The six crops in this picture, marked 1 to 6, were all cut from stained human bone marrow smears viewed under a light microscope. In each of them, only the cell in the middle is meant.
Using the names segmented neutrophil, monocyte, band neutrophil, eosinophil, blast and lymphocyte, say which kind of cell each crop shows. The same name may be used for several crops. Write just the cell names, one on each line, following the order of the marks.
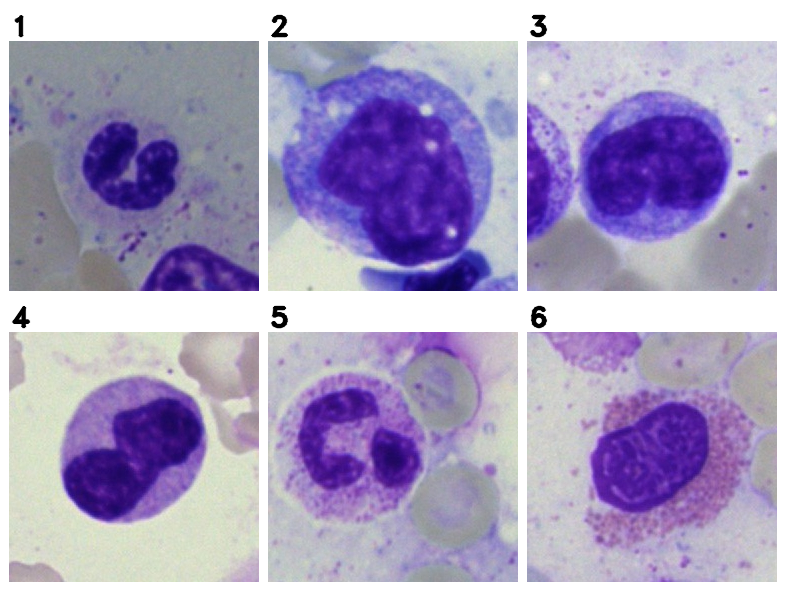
segmented neutrophil
monocyte
monocyte
band neutrophil
segmented neutrophil
eosinophil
